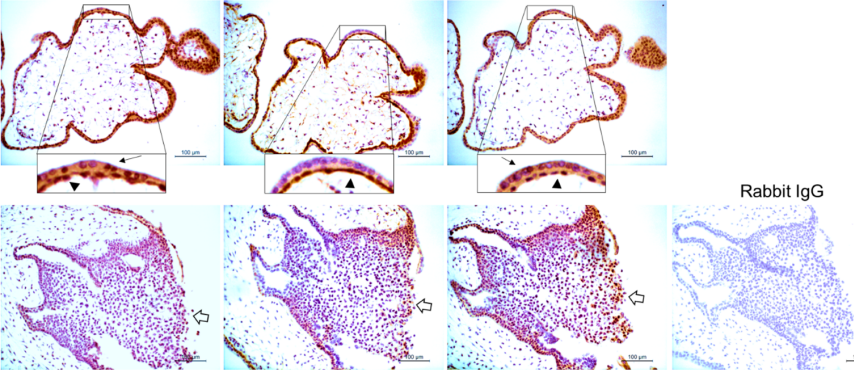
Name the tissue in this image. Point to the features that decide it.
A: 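Branching villi with a loose, pale core of scattered cells. Each villus is covered by a two-layered epithelium. A dense column of cells extends from a villus.
Answer: placenta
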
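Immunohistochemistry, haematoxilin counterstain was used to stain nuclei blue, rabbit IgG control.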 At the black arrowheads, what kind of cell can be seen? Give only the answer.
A: Villous cytotrophoblasts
